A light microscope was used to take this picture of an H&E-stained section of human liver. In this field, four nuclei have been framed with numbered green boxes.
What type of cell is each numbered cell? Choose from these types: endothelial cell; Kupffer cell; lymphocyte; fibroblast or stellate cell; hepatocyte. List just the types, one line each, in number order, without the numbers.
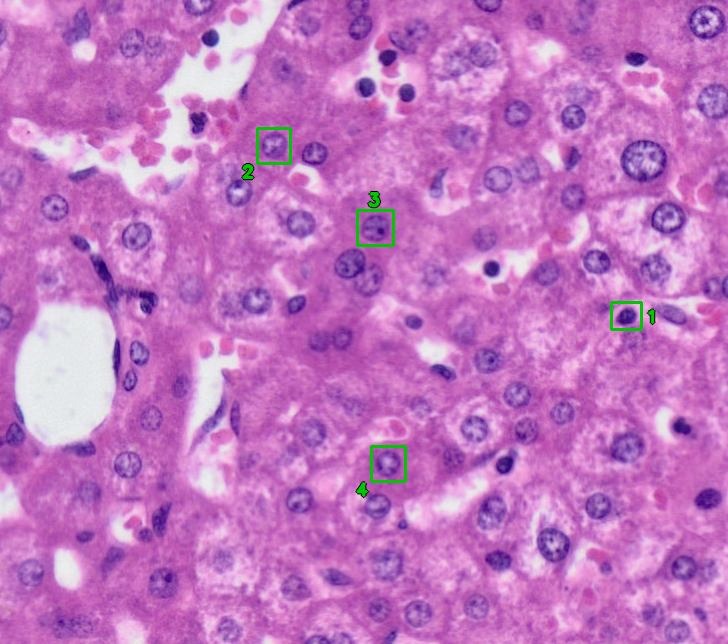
lymphocyte
hepatocyte
hepatocyte
hepatocyte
